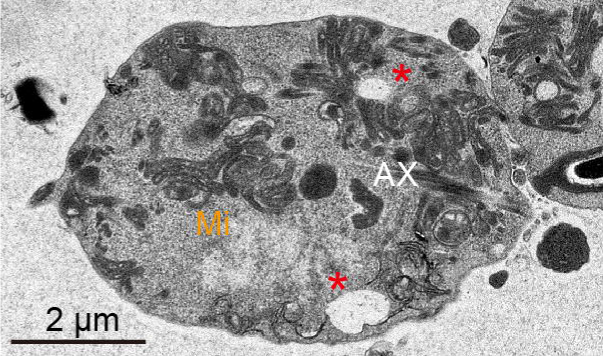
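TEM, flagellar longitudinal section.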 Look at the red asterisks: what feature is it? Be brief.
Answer: large vacuoles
